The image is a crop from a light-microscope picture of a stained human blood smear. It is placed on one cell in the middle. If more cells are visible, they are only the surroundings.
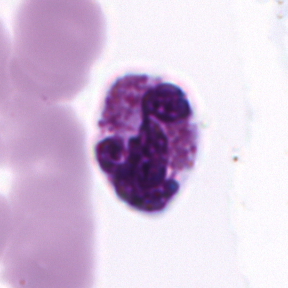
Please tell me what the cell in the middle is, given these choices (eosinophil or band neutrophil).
eosinophil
